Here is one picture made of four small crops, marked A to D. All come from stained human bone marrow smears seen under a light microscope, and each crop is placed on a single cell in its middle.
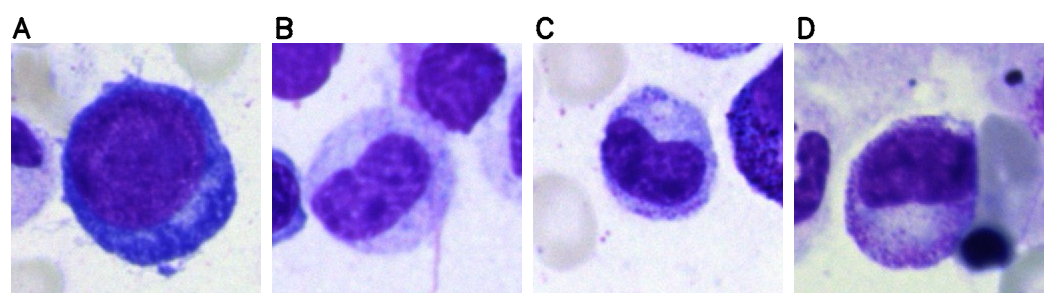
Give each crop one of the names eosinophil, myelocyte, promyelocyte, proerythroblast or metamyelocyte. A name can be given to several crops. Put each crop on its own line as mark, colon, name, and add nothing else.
A: proerythroblast
B: metamyelocyte
C: metamyelocyte
D: metamyelocyte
